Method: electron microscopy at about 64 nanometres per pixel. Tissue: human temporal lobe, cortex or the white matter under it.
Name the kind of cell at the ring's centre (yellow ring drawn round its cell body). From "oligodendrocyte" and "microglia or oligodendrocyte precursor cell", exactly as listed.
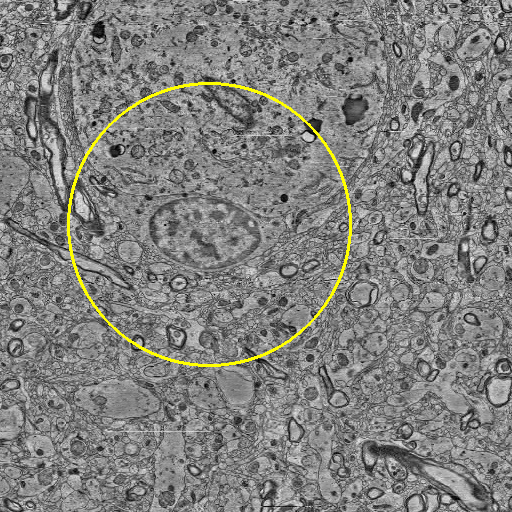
oligodendrocyte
